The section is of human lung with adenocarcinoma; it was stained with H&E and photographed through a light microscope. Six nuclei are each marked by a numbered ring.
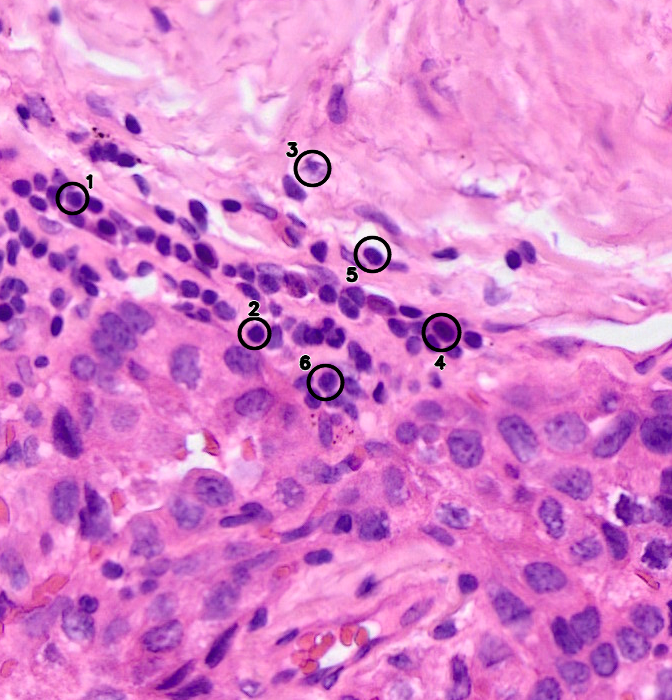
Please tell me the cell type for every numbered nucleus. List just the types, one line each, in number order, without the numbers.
lymphocyte
lymphocyte
fibroblast
plasma cell
lymphocyte
lymphocyte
